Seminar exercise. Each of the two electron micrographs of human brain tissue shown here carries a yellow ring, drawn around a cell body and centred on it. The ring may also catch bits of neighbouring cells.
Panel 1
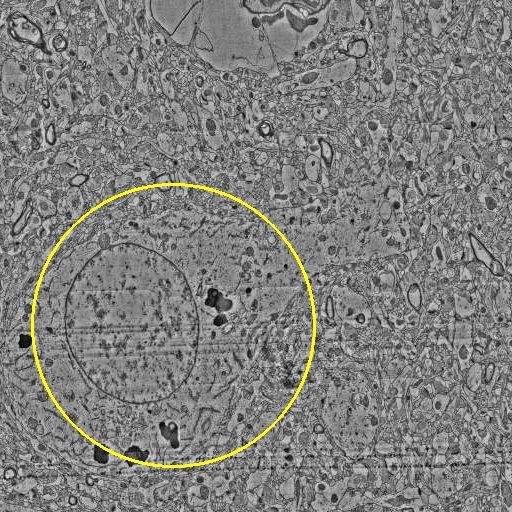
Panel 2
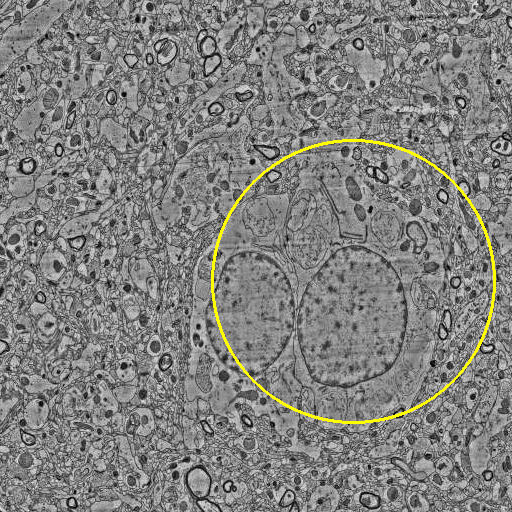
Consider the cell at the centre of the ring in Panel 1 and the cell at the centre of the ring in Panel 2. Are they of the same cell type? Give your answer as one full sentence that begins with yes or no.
No, the two cells are of two types.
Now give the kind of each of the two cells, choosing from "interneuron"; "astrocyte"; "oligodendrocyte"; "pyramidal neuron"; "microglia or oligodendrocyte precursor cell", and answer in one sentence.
The cell in the first picture is a pyramidal neuron, and the cell in the second is an astrocyte.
